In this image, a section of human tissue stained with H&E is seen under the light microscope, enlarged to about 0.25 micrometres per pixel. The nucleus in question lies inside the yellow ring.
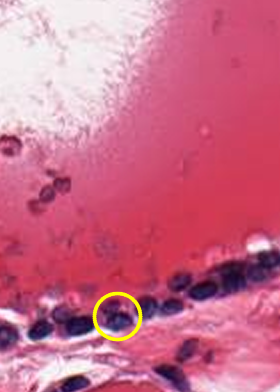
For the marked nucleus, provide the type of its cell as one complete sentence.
The nucleus picked out by the mark is that of a thyroid follicular cell.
